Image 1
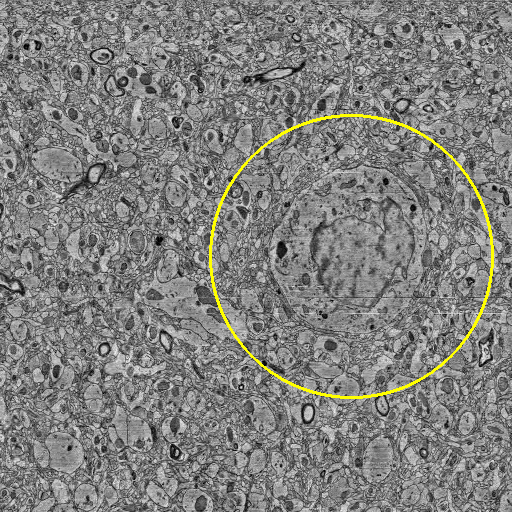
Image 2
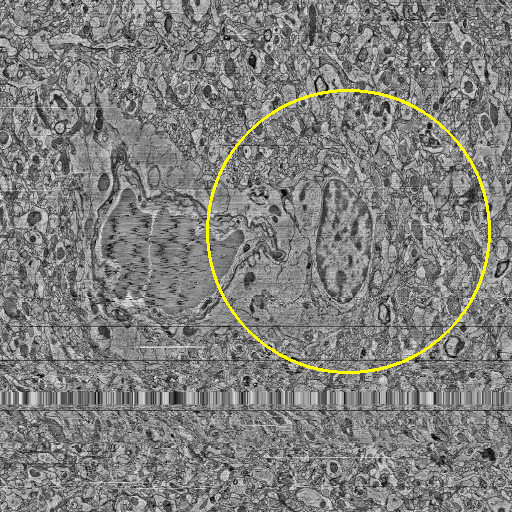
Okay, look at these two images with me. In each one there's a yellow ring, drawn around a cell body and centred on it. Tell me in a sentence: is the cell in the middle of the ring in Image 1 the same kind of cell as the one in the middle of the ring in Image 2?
No, they're two kinds of cell.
